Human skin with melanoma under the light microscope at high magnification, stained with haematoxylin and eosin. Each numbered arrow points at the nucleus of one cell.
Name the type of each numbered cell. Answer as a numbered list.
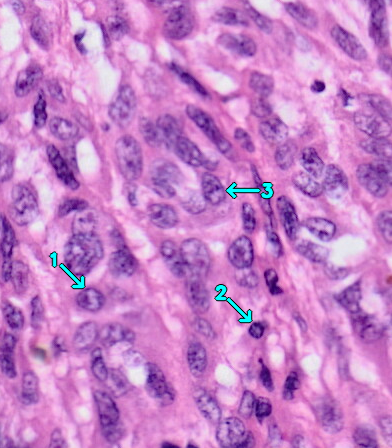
1. melanoma cell
2. plasma cell
3. melanoma cell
